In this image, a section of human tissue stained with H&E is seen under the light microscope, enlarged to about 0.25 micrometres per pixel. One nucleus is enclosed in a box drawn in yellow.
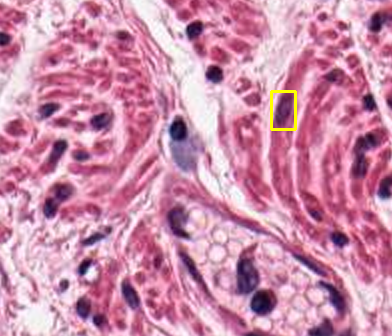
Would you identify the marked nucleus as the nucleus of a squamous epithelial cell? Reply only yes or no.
no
